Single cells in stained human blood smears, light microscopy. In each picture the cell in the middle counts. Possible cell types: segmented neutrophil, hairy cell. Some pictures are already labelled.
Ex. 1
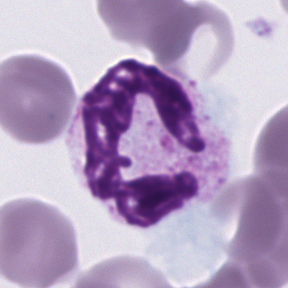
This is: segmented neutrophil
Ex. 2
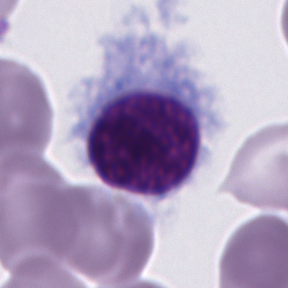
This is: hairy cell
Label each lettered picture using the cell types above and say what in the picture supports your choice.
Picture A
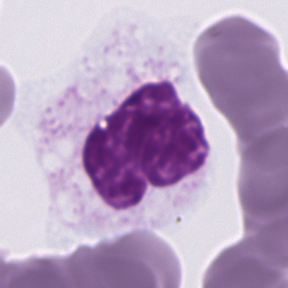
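segmented neutrophil: The cytoplasm is abundant and forms a wide zone around the nucleus.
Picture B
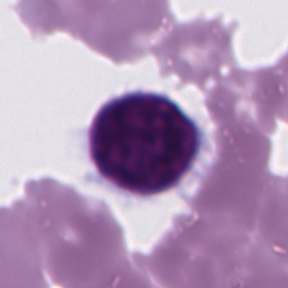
hairy cell: The nucleus fills almost the whole cell, leaving at most a barely visible rim of cytoplasm.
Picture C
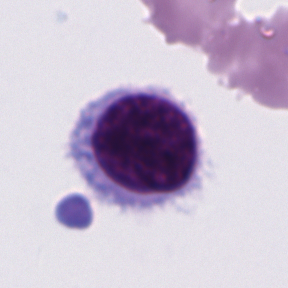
hairy cell: The nucleus fills most of the cell and leaves a rim of cytoplasm that is widest on the left side.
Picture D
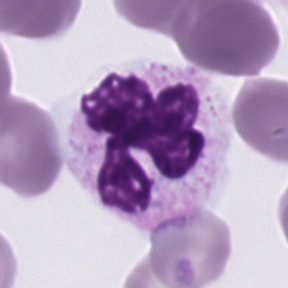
segmented neutrophil: The nucleus is divided into several separate lobes.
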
